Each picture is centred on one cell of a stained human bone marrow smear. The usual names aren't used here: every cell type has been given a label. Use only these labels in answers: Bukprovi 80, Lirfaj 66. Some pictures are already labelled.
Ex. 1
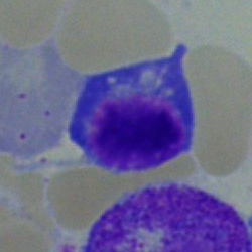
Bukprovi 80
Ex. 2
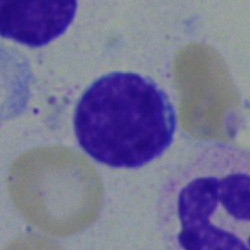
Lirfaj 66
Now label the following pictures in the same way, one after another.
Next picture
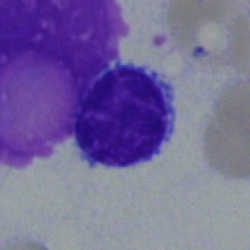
Lirfaj 66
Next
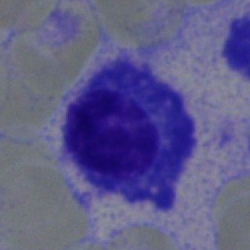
Bukprovi 80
